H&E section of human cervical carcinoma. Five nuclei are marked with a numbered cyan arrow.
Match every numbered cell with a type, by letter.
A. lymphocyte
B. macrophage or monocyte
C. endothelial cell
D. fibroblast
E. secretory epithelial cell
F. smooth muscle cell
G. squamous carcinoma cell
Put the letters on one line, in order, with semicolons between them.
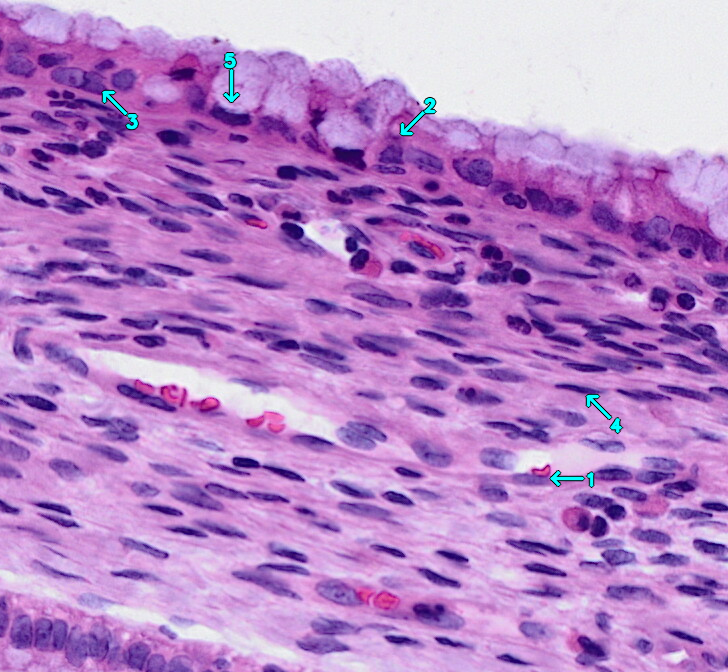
C; E; E; D; E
